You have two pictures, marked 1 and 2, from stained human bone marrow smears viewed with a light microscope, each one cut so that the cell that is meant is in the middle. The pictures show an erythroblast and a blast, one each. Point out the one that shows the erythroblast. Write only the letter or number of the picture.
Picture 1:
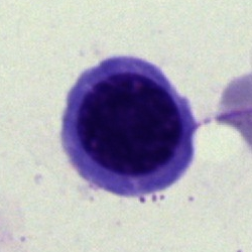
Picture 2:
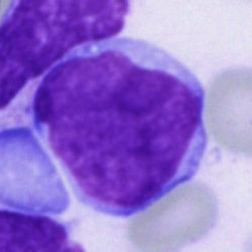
1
